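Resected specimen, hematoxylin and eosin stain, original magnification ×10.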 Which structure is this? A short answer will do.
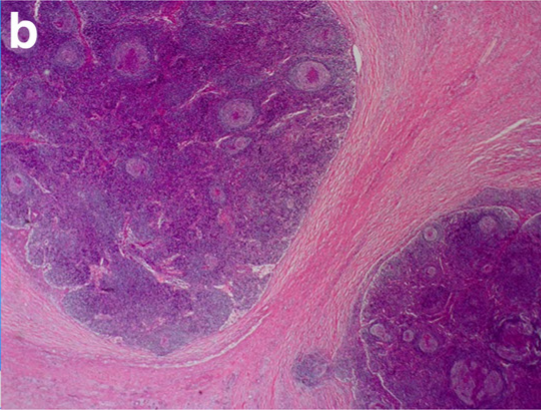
Lymph follicles.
